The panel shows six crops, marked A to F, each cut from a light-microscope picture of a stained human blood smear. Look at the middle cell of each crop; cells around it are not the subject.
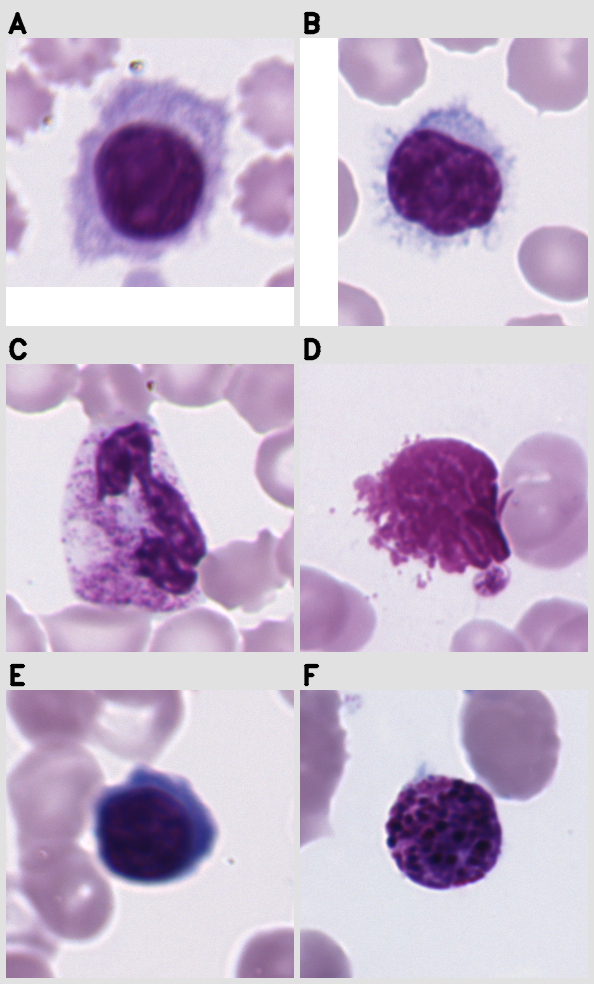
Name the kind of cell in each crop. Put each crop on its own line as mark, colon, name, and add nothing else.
A: hairy cell
B: hairy cell
C: segmented neutrophil
D: smudge cell
E: normoblast
F: basophil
